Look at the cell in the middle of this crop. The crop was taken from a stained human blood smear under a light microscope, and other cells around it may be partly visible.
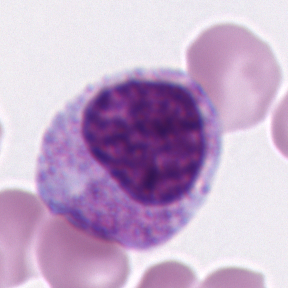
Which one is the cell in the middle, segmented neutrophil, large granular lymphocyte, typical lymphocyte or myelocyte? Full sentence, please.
To answer, the cell in the center of the crop is a myelocyte.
